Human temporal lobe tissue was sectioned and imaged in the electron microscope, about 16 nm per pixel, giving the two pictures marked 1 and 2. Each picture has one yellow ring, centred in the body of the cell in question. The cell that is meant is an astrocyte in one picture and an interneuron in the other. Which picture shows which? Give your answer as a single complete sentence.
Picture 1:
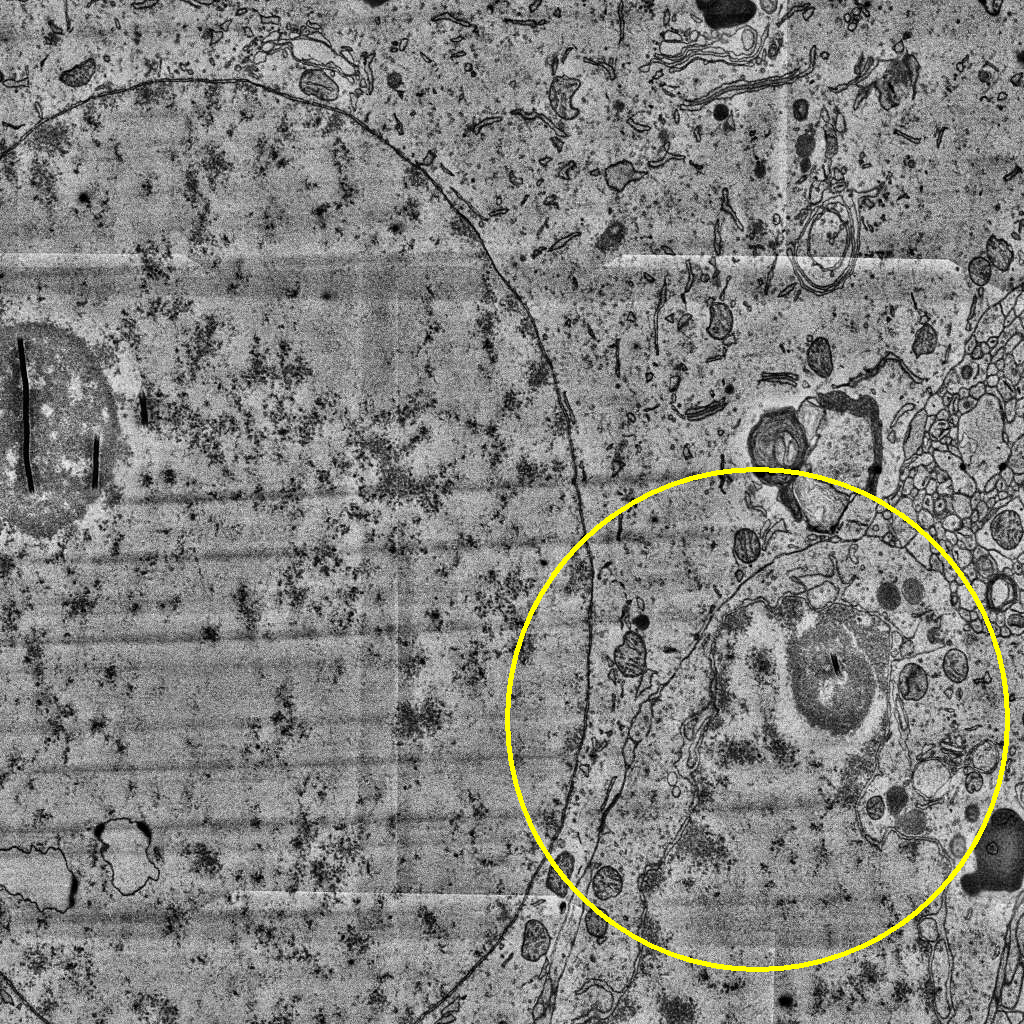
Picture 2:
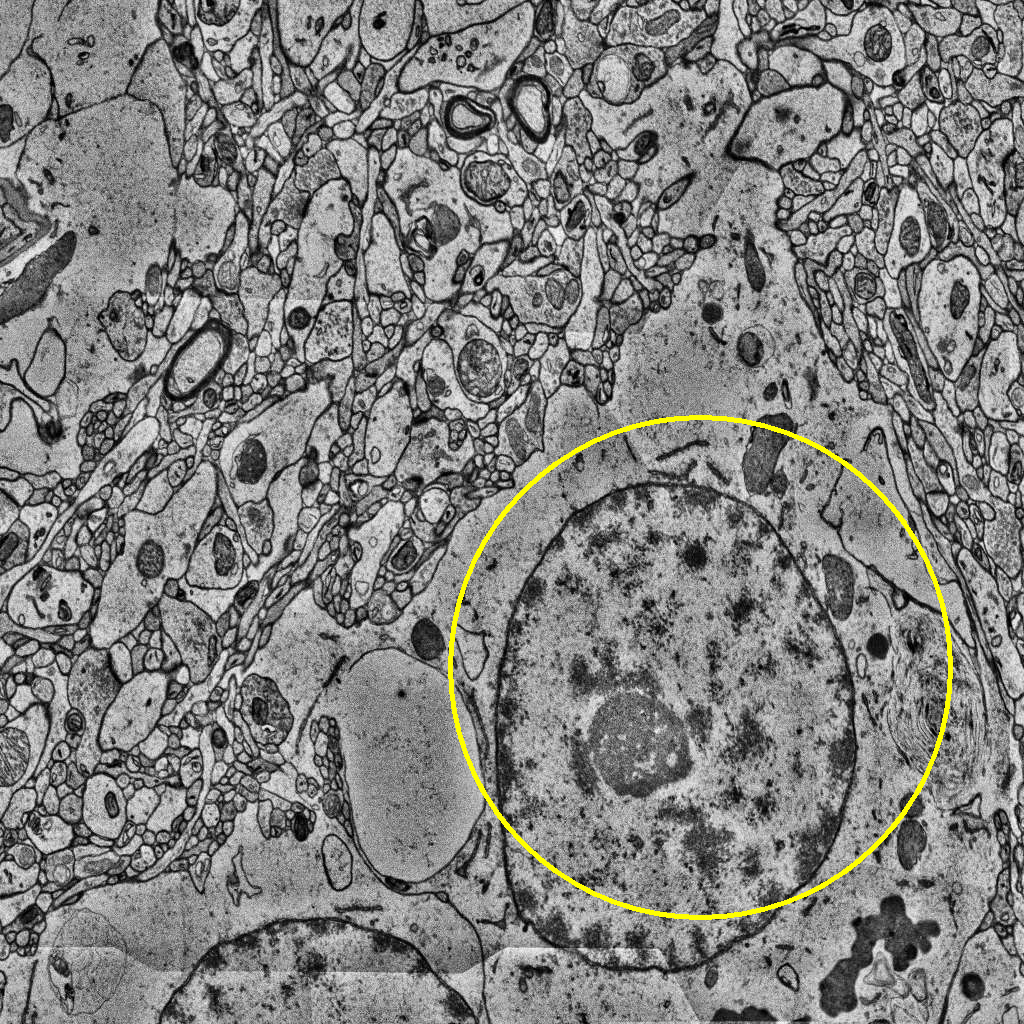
Picture 1 shows an interneuron and picture 2 shows an astrocyte.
